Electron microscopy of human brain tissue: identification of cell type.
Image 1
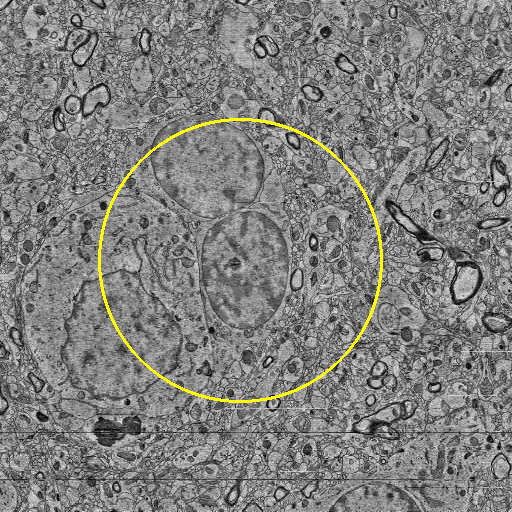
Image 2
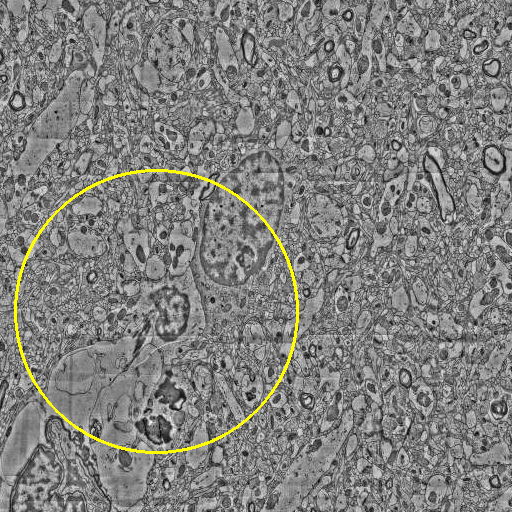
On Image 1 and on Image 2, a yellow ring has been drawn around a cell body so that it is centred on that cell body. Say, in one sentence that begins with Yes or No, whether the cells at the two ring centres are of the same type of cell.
No, the two cells are two separate types of cell.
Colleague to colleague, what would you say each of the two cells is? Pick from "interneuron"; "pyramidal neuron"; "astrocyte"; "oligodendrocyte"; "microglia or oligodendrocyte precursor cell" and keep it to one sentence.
The cell in the first picture is an oligodendrocyte; the second picture's cell is a microglial cell or oligodendrocyte precursor cell.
